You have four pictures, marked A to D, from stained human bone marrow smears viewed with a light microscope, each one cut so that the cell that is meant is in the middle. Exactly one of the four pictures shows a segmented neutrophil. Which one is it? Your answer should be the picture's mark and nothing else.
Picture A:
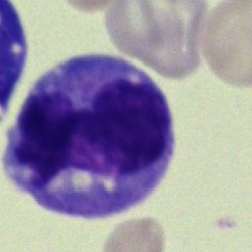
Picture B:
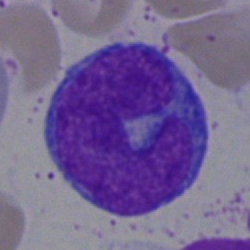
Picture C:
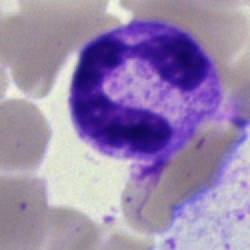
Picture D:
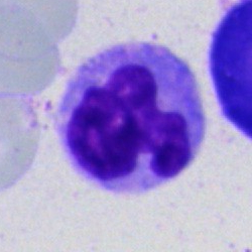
C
